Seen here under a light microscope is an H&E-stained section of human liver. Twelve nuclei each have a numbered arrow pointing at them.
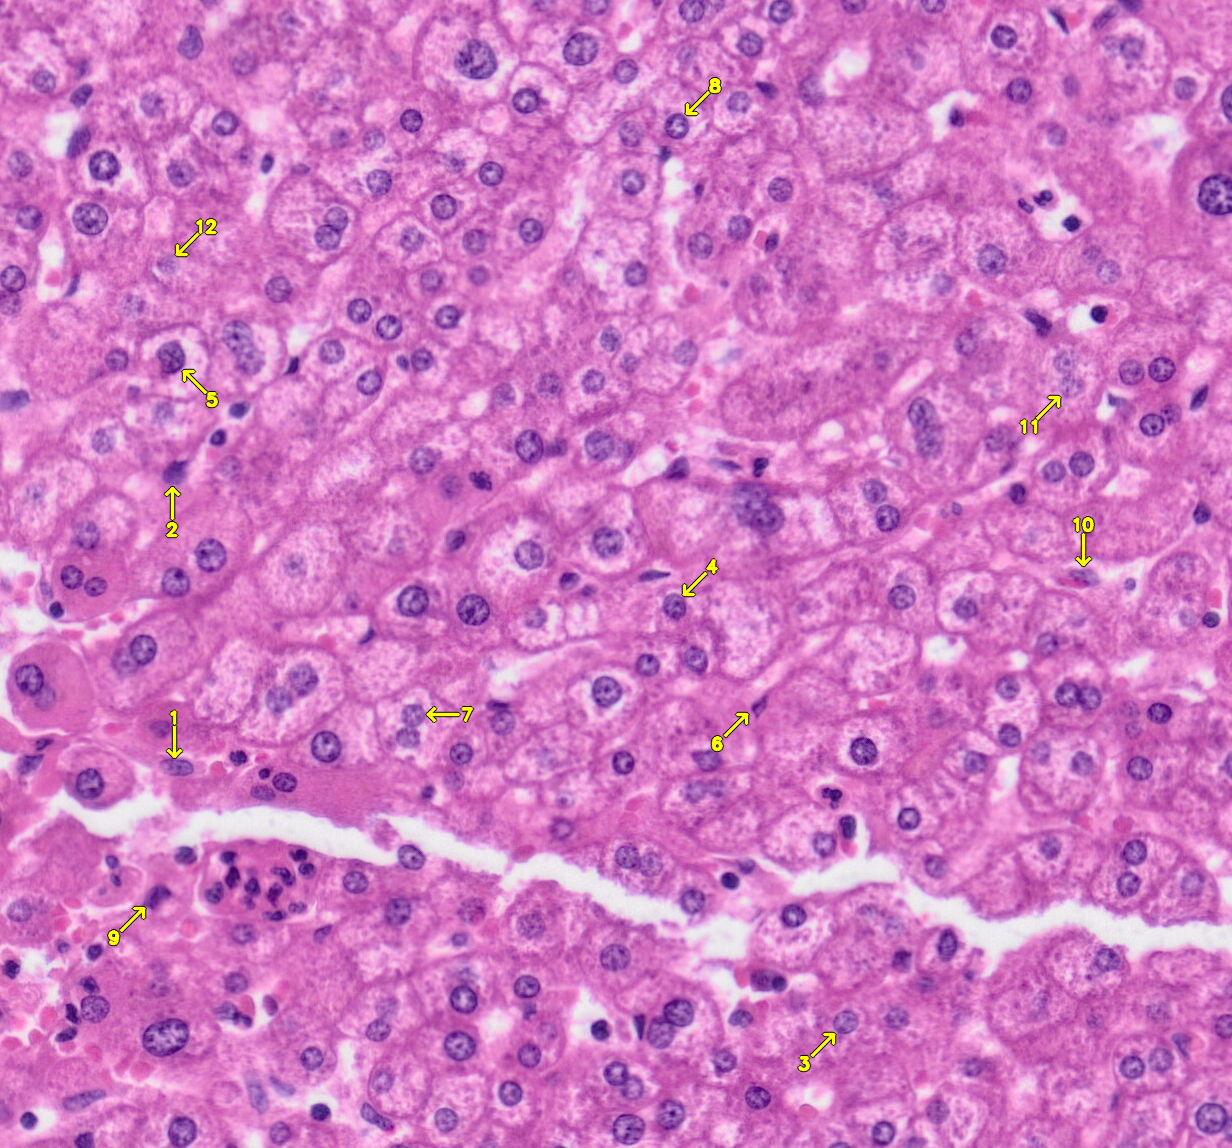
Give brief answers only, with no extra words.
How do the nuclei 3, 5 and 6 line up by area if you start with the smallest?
6, 3, 5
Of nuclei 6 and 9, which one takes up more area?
9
